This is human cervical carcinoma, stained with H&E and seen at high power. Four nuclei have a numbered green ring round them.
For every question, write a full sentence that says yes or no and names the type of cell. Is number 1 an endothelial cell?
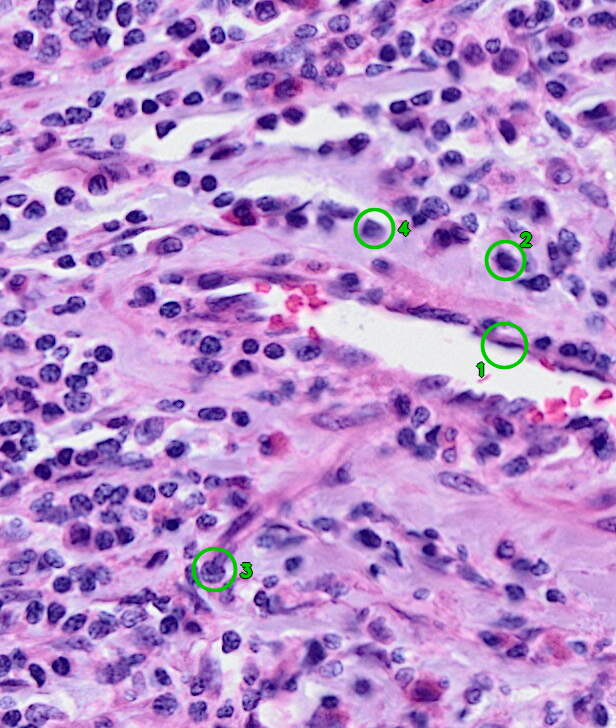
Yes, the numbered nucleus 1 is that of an endothelial cell.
